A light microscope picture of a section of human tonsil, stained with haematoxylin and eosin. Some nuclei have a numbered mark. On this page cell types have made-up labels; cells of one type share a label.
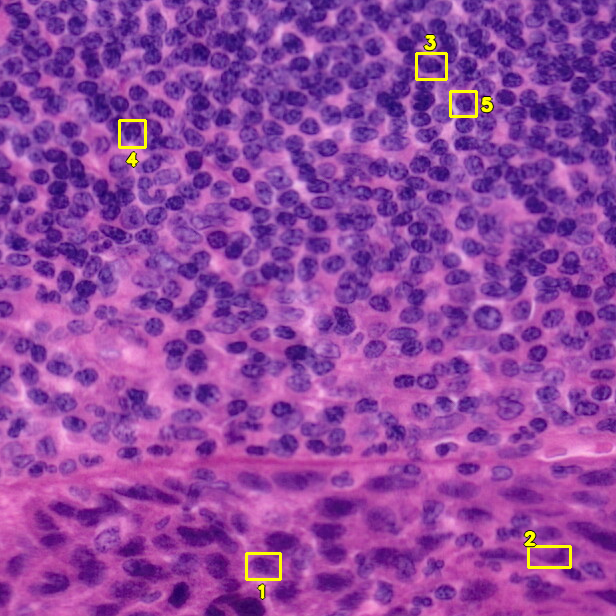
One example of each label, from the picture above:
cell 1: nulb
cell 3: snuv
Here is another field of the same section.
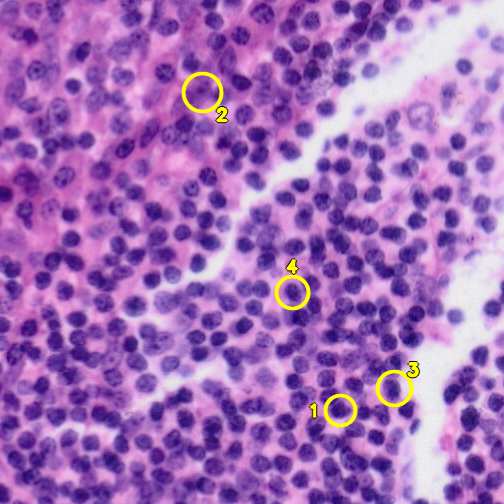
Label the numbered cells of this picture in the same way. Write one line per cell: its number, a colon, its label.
1: snuv
2: nulb
3: snuv
4: snuv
